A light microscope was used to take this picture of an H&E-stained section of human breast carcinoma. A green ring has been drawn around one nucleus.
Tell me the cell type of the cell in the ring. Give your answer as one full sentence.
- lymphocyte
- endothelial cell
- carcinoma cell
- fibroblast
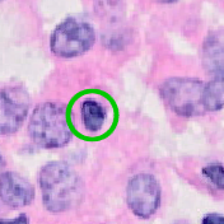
This is a lymphocyte.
